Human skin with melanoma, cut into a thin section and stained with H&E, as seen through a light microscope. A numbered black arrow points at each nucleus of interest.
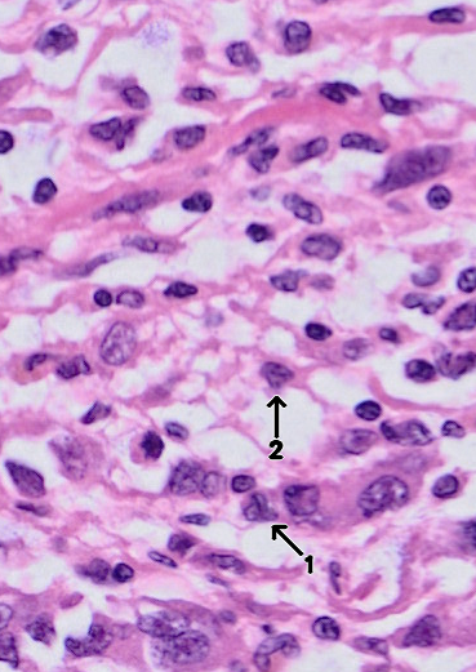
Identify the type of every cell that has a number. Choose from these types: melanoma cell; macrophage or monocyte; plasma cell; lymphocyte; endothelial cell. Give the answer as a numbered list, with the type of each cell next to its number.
1. melanoma cell
2. macrophage or monocyte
